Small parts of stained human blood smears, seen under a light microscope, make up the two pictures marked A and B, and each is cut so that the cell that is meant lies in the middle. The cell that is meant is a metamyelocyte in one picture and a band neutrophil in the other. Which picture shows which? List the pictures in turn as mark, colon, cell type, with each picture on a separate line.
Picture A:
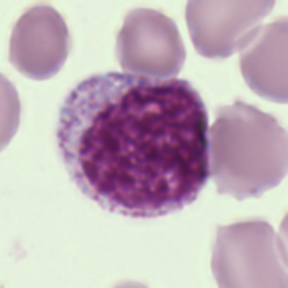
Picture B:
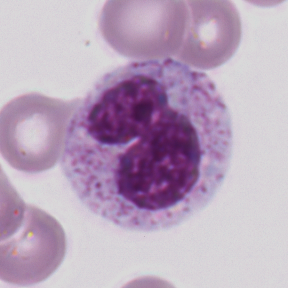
A: metamyelocyte
B: band neutrophil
